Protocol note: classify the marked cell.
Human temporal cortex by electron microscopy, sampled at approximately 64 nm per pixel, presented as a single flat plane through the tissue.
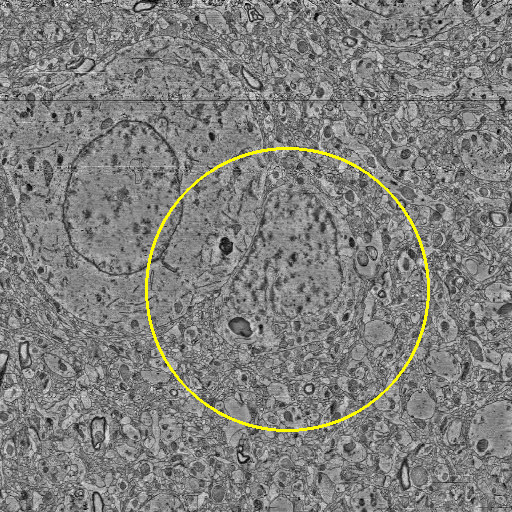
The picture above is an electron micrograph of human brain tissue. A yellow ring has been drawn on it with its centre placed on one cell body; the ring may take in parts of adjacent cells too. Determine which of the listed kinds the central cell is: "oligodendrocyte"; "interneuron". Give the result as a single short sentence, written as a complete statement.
The central cell is an interneuron.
